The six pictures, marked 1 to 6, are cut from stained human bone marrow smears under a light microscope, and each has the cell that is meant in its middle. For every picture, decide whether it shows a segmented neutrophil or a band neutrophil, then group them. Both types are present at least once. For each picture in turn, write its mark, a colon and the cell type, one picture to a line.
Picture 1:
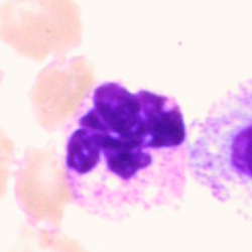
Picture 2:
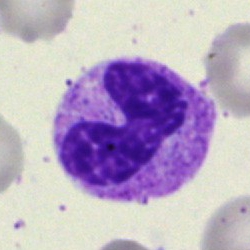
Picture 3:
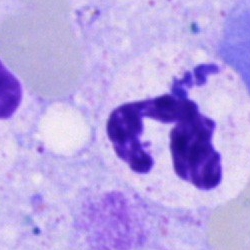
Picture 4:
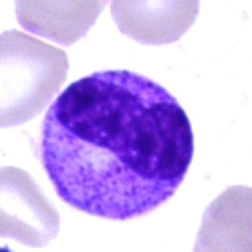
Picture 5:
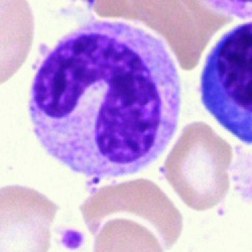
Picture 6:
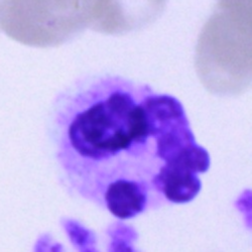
1: segmented neutrophil
2: band neutrophil
3: segmented neutrophil
4: band neutrophil
5: band neutrophil
6: segmented neutrophil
